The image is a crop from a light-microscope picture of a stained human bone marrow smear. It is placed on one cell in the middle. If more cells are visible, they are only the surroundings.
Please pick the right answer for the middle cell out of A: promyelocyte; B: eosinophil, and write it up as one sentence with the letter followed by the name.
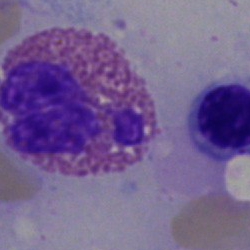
The cell occupying the centre is an eosinophil; option B is thus the correct choice.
